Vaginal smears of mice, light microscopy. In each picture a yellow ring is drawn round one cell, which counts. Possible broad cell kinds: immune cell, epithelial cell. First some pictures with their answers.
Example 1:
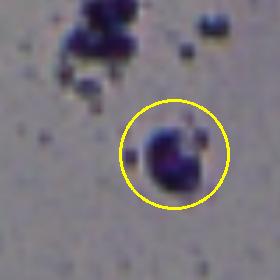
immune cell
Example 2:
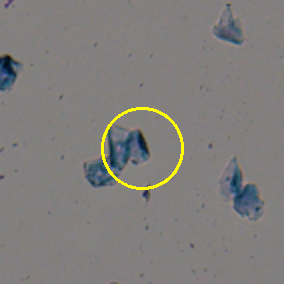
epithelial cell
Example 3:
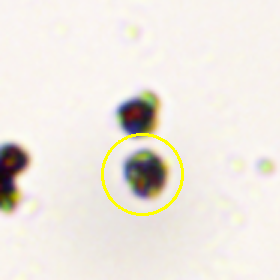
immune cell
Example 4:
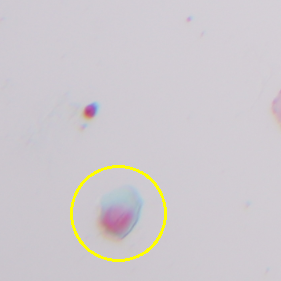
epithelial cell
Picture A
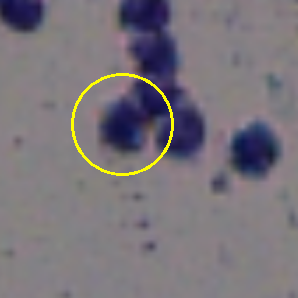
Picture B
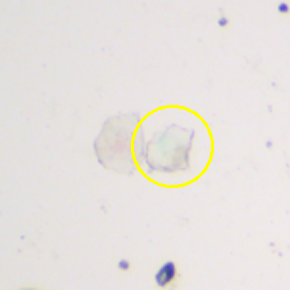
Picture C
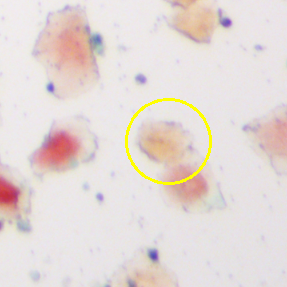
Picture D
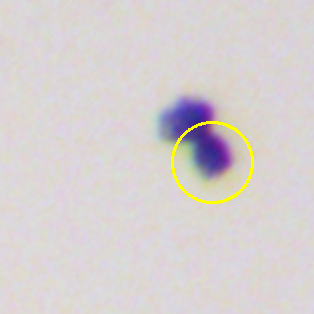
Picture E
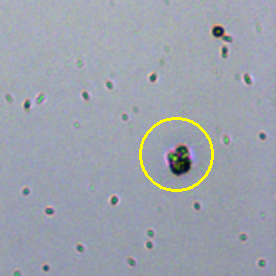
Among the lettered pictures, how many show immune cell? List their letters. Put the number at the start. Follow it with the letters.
Count: 3 (A, D, E)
